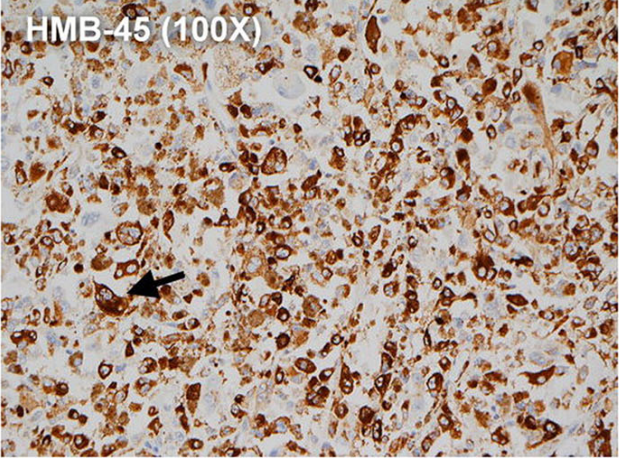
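A diffuse sheet of large, polygonal to rounded tumor cells is seen, most with strong brown colour filling the cytoplasm. Scattered cells are weaker or unstained, lying among the strongly coloured ones. These are sheets of melanoma cells with cytoplasmic staining.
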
